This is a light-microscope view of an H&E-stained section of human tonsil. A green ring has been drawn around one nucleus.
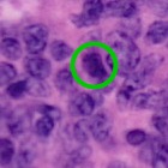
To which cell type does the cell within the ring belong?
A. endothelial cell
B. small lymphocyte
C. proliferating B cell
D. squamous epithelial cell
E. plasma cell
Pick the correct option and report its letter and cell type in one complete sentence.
With the cell within the ring being a proliferating B cell, option C is correct.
